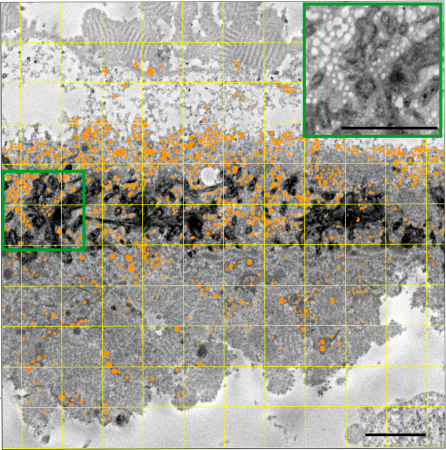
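A cross-section of Bruch's membrane runs horizontally across the field as a band of extracellular matrix. Through its middle runs a dark, densely stained stratum of fibrous material. Small round particles, outlined in orange, are scattered through the band and are most crowded just above the dark stratum, fewer below it. An inset at the upper right shows the particles as pale, round vesicles at higher magnification.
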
